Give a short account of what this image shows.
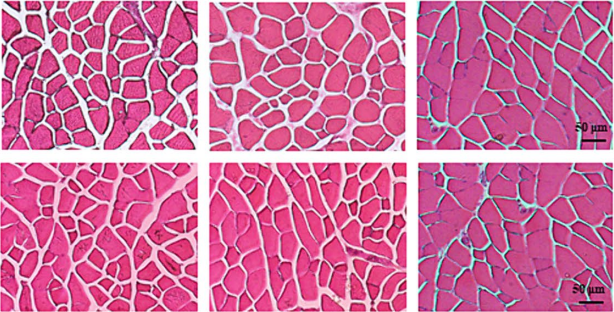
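Cross-sections of skeletal muscle show many polygonal muscle fibers packed side by side, their cytoplasm stained evenly pink. The fibers vary in size from one image to another.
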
